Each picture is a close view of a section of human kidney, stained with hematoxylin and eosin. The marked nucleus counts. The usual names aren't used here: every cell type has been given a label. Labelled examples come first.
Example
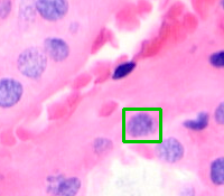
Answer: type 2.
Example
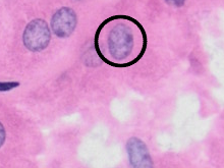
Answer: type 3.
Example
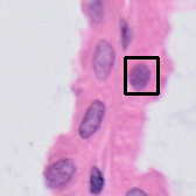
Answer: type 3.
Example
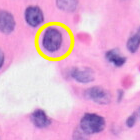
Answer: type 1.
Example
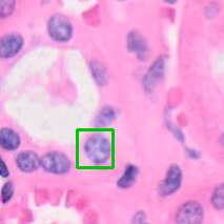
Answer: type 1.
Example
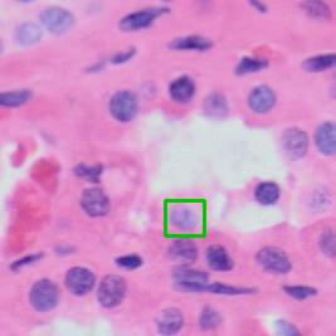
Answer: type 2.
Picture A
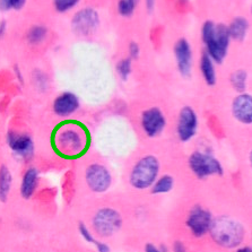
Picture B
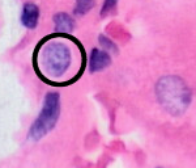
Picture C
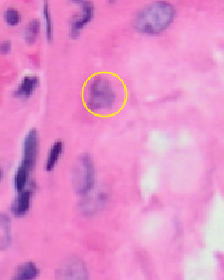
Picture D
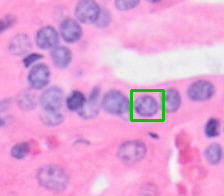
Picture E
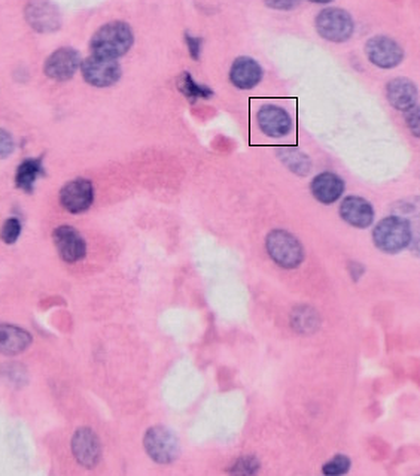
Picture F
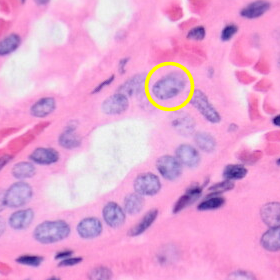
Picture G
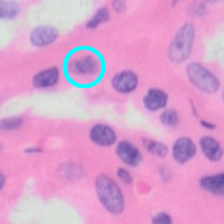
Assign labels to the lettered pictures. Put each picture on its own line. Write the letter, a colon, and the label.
A: type 2.
B: type 1.
C: type 3.
D: type 1.
E: type 1.
F: type 1.
G: type 1.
